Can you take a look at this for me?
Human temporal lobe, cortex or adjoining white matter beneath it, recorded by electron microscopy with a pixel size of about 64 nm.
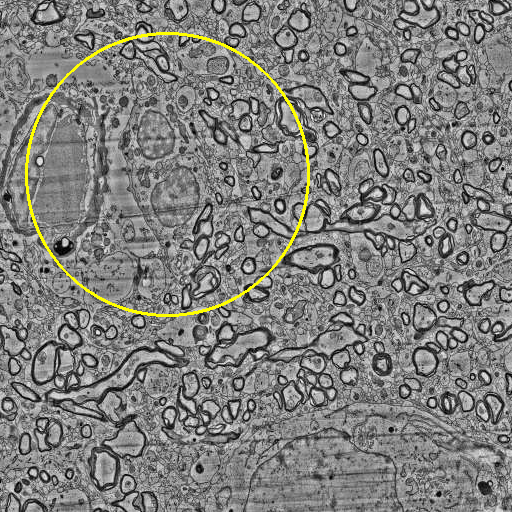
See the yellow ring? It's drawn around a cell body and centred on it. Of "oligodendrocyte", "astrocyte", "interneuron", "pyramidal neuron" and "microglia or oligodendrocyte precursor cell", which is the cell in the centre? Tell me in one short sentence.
The one in the centre is an oligodendrocyte.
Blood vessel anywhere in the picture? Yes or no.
Yes, a vessel shows somewhere in the image.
